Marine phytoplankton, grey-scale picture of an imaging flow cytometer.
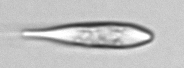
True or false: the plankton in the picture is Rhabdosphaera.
False; it is Licmophora.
